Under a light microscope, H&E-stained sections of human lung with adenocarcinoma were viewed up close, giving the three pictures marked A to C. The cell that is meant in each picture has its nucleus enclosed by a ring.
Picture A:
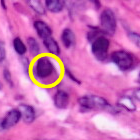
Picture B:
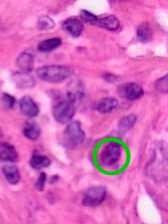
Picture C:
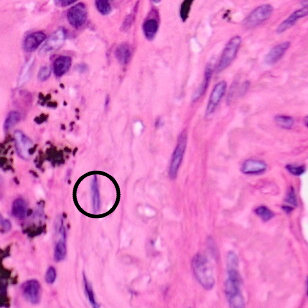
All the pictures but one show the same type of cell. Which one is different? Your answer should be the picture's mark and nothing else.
C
